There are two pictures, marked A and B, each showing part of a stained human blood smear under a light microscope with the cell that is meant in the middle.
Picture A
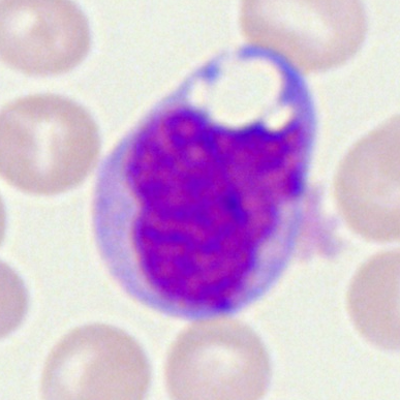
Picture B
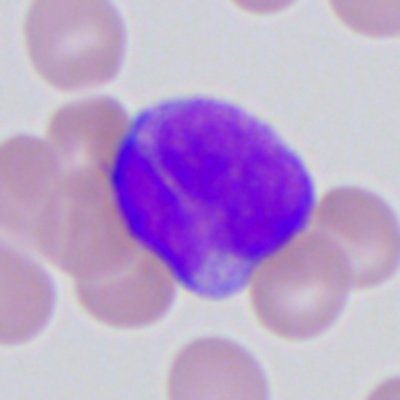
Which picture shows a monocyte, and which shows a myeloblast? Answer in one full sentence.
Picture A shows a monocyte and picture B shows a myeloblast.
